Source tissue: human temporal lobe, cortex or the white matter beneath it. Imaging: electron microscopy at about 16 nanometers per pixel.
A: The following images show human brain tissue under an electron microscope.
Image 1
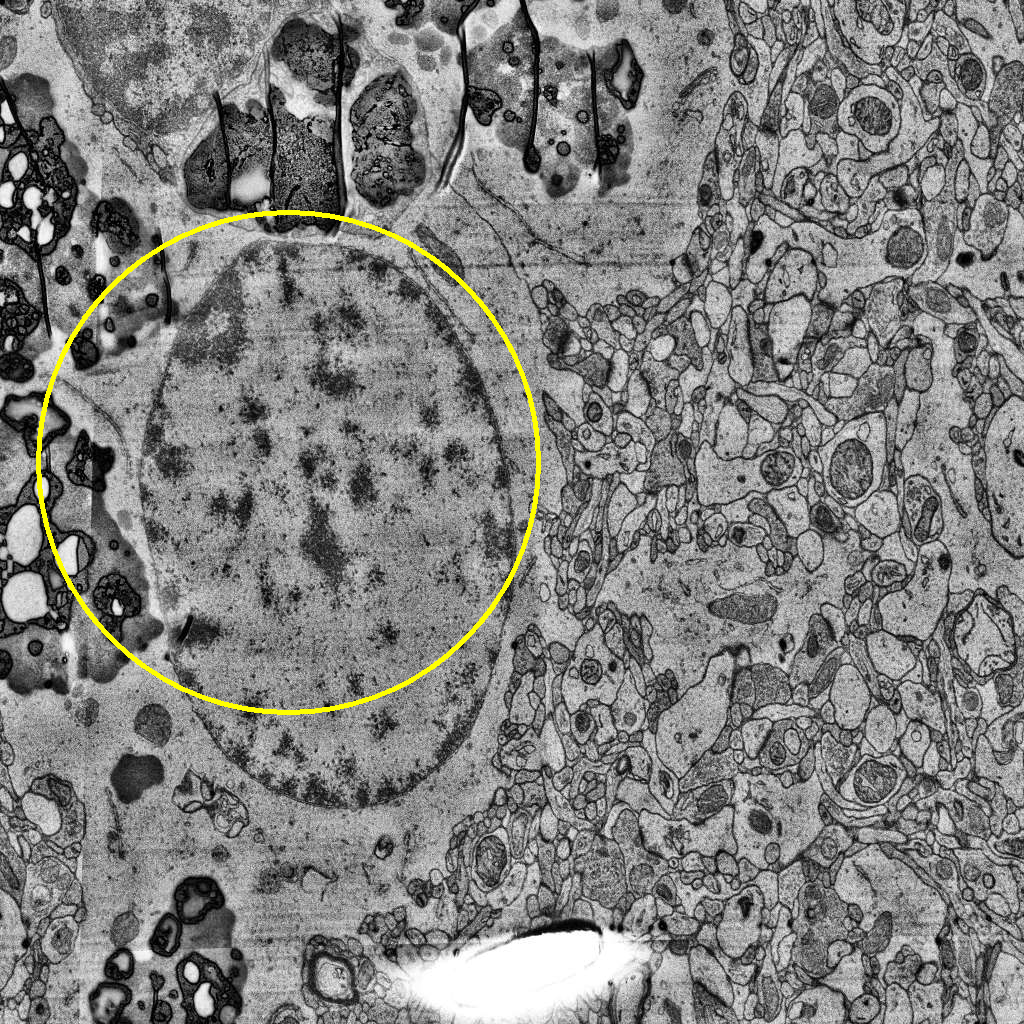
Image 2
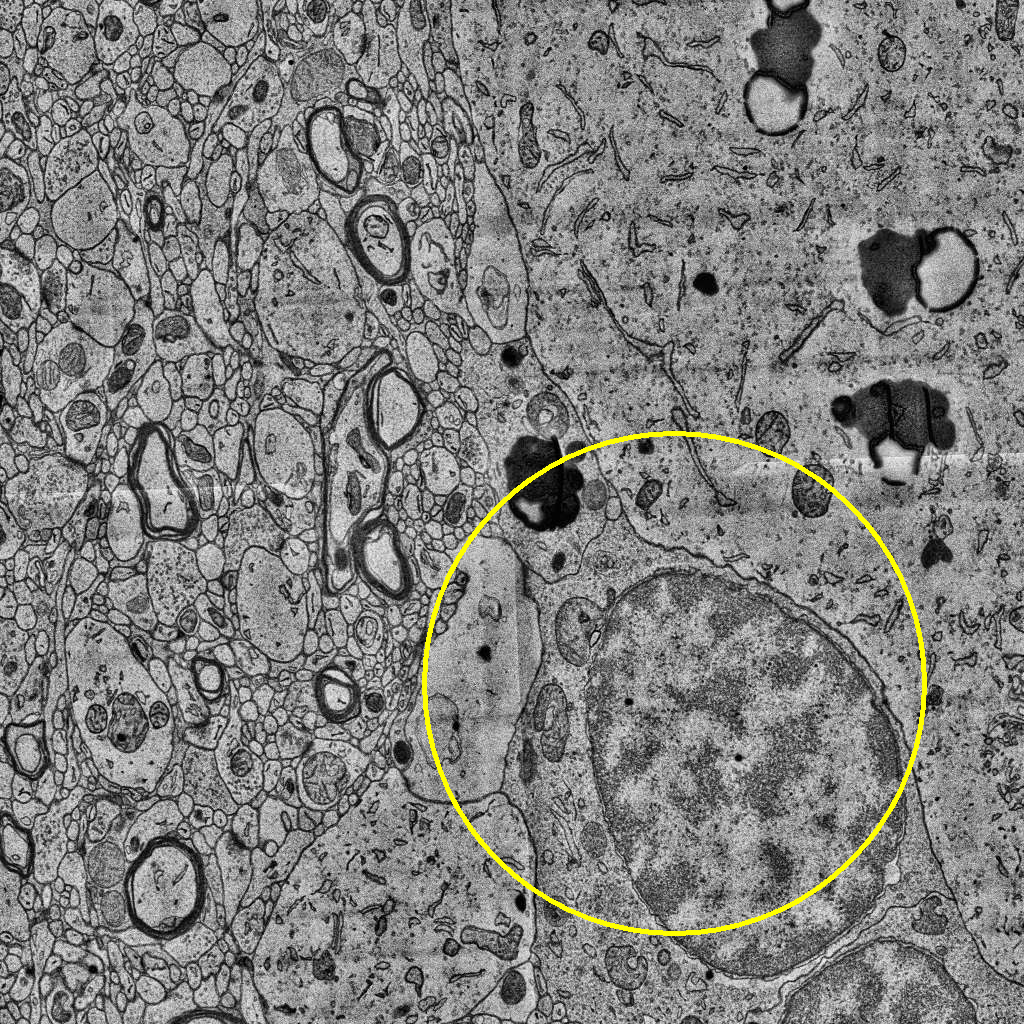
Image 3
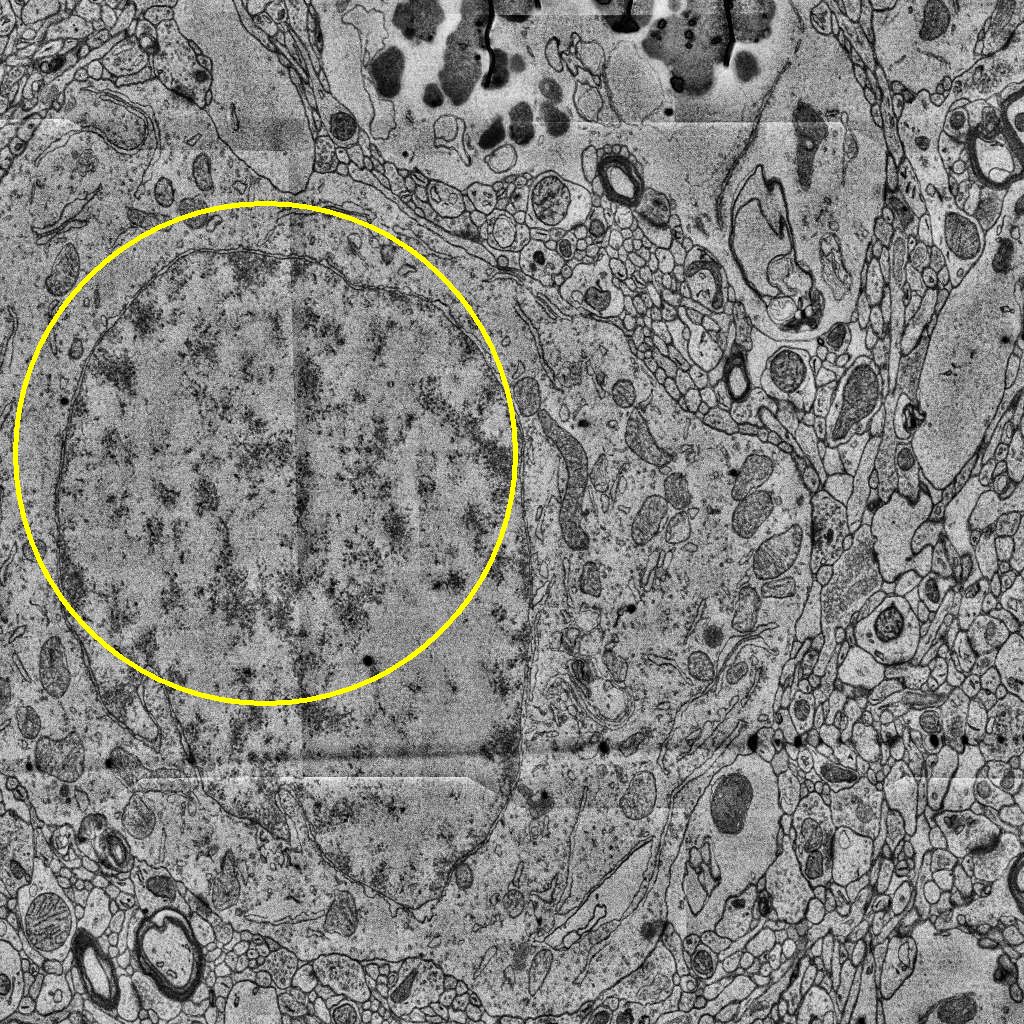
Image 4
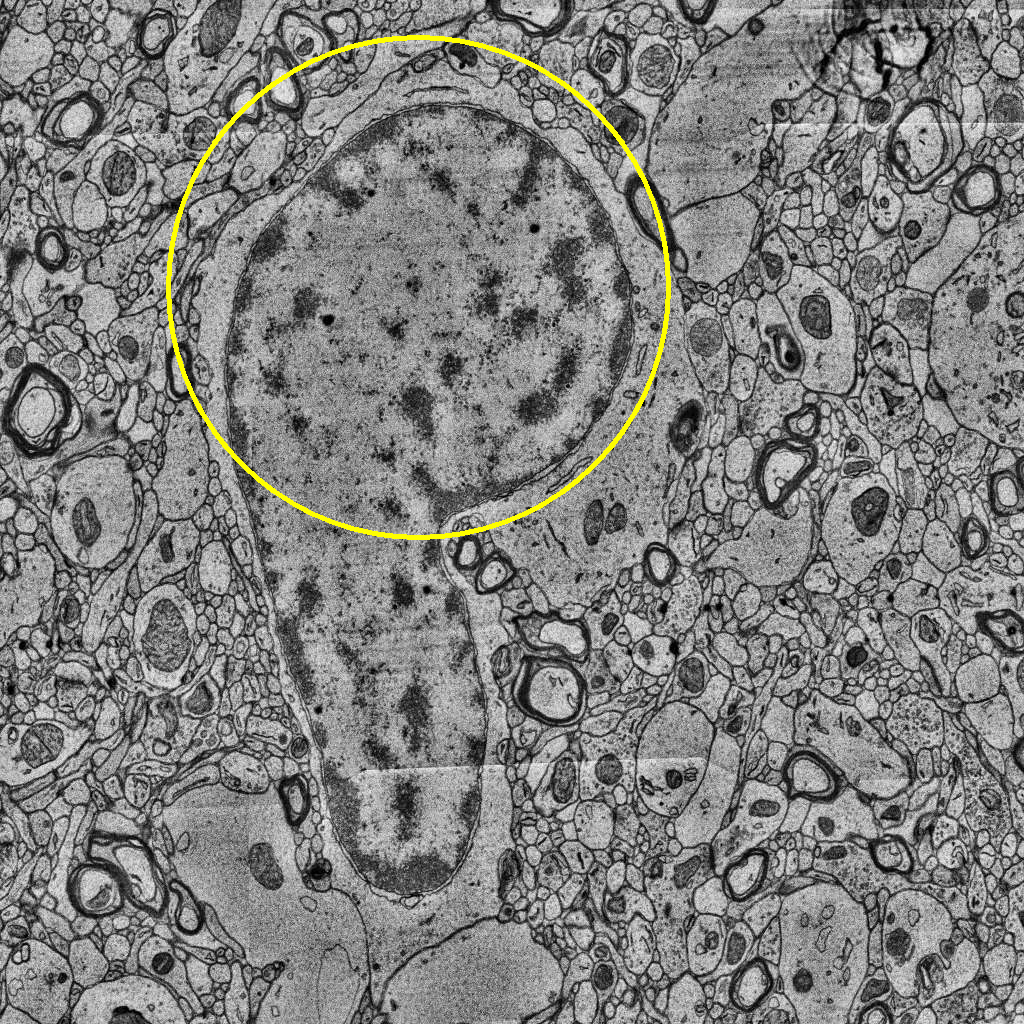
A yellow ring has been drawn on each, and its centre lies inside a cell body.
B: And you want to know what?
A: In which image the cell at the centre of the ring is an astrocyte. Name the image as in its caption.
Image 1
